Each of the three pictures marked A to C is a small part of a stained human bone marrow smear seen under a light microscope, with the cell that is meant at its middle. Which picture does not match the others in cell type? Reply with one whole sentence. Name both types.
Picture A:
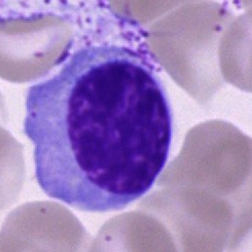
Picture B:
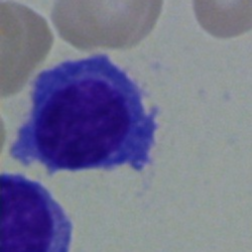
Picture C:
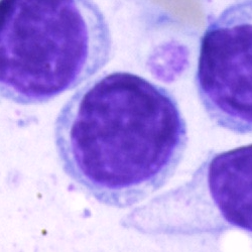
Picture C differs, because its cell is a lymphocyte and the rest are plasma cells.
